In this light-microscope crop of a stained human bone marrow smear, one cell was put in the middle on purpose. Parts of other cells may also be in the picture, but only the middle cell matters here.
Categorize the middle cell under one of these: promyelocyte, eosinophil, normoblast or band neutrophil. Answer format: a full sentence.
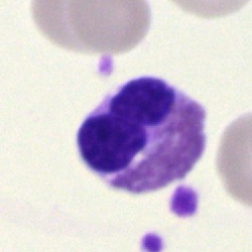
To answer, the cell in the center of the crop is an eosinophil.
